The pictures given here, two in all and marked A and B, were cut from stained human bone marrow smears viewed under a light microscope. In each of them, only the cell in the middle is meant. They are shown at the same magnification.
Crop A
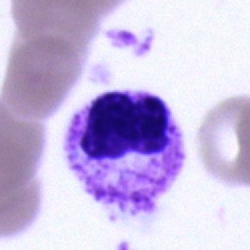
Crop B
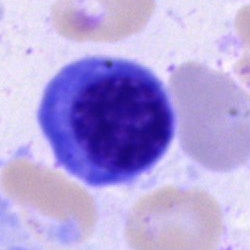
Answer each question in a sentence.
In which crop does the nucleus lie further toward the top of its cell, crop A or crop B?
It is the nucleus in crop A that lies further toward the top of its cell.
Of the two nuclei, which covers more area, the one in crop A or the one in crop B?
Crop B shows the larger nucleus; it covers about 1.5 times the area of the nucleus in crop A.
